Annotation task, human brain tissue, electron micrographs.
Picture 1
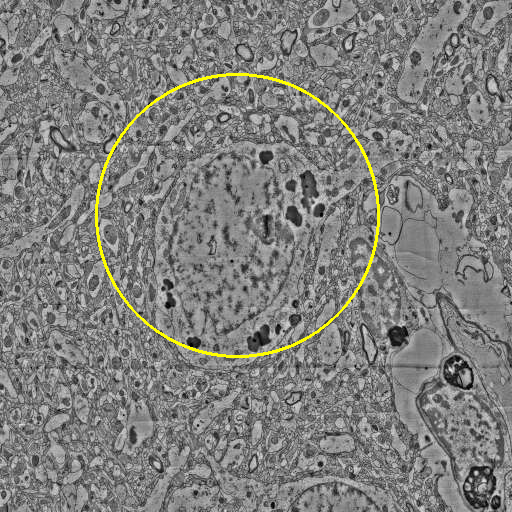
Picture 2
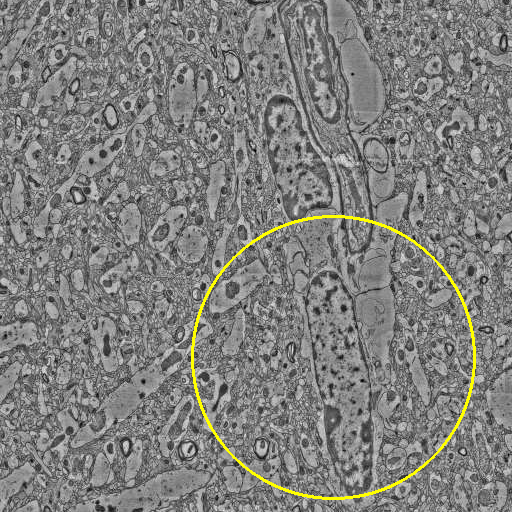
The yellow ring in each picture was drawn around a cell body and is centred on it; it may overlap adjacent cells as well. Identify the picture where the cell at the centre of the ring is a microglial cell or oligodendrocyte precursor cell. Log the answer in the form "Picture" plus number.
Picture 2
